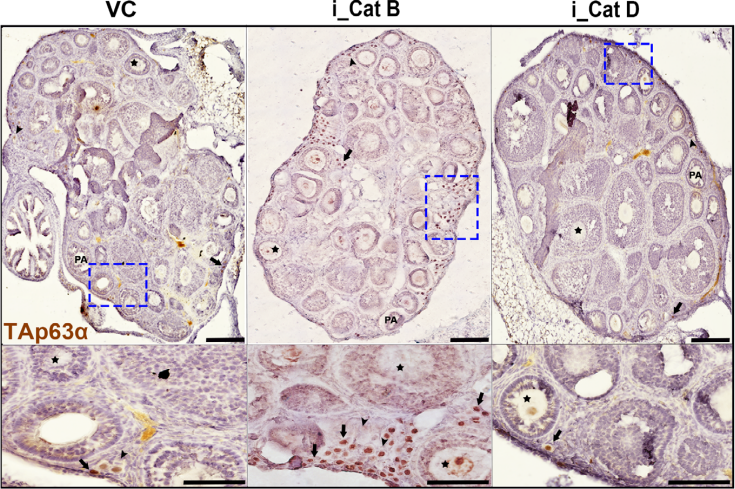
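Deeper in the section are larger follicles in which a central oocyte is surrounded by several layers of cuboidal cells. The enlarged views below each section show the cortex at higher magnification, where clusters of small brown-nucleated oocytes can be picked out. In the middle section, the small brown-nucleated oocytes at the cortex are more numerous than in the other two.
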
